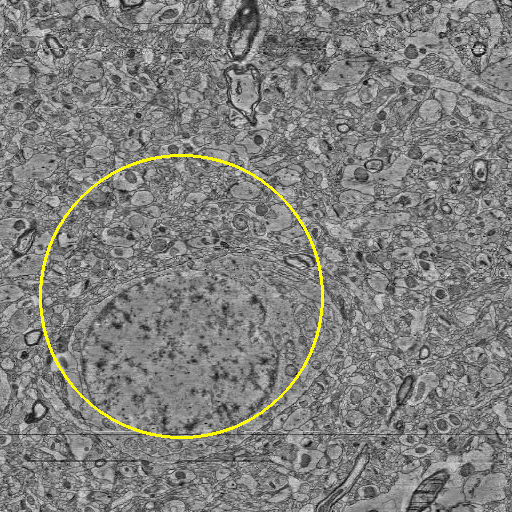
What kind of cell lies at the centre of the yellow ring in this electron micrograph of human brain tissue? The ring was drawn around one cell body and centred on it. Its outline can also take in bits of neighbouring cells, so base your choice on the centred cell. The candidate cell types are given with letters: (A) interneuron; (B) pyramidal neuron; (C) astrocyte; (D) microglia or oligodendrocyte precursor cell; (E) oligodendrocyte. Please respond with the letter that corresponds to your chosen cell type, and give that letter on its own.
A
